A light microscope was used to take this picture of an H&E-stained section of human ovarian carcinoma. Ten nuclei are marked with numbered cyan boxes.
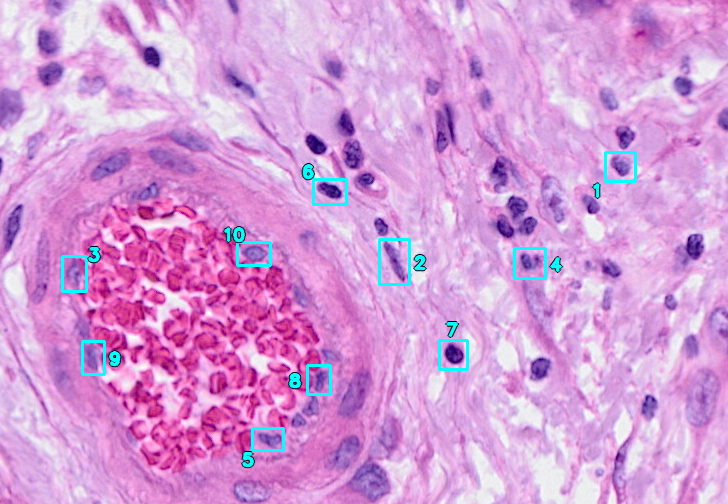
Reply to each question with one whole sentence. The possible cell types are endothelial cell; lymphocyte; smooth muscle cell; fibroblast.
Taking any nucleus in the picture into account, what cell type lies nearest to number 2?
The cell nearest to number 2 is a lymphocyte.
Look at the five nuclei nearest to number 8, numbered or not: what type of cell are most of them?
The majority of the five nuclei closest to number 8 belong to endothelial cells.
